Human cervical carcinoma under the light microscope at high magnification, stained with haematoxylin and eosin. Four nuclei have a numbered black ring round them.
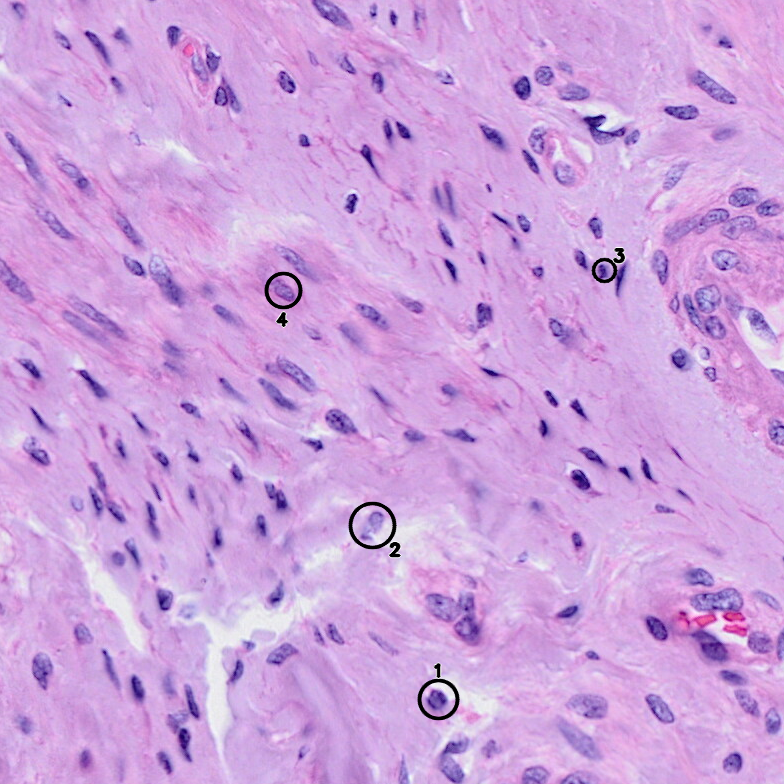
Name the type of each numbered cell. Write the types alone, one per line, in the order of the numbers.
lymphocyte
fibroblast
fibroblast
smooth muscle cell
